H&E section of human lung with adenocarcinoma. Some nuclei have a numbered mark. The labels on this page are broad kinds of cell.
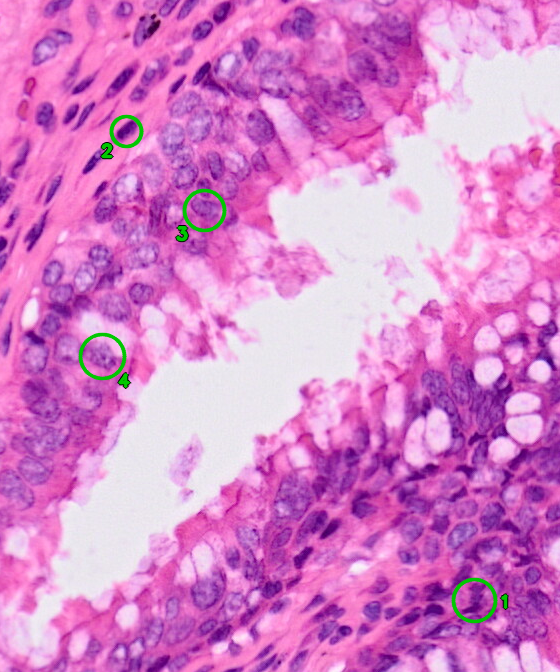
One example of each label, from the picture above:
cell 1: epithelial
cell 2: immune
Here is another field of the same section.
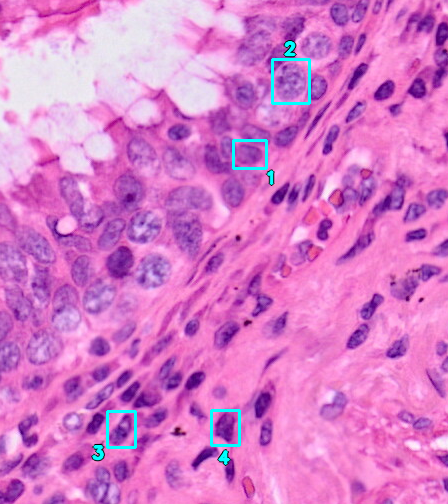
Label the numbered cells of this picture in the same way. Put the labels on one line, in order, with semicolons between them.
epithelial; epithelial; immune; immune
